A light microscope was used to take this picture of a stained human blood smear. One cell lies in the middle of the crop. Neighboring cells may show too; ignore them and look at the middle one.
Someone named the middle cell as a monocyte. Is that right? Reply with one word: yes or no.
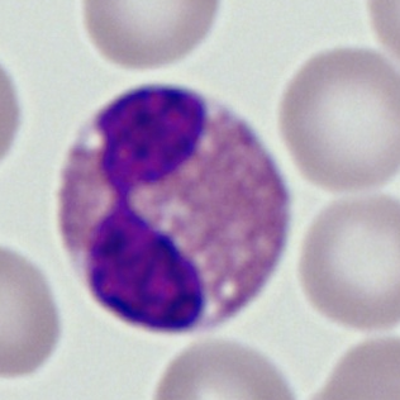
no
